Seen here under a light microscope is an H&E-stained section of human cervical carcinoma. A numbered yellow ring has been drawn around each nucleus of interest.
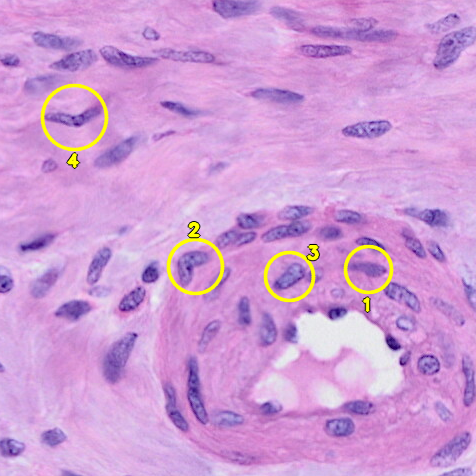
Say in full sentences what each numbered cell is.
Cell 1 is a smooth muscle cell, cell 2 is a smooth muscle cell, cell 3 is a smooth muscle cell and cell 4 is a fibroblast.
